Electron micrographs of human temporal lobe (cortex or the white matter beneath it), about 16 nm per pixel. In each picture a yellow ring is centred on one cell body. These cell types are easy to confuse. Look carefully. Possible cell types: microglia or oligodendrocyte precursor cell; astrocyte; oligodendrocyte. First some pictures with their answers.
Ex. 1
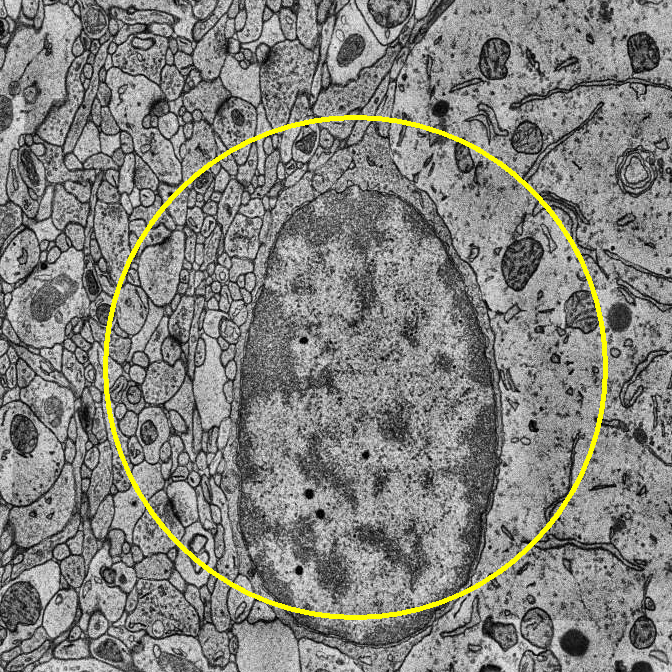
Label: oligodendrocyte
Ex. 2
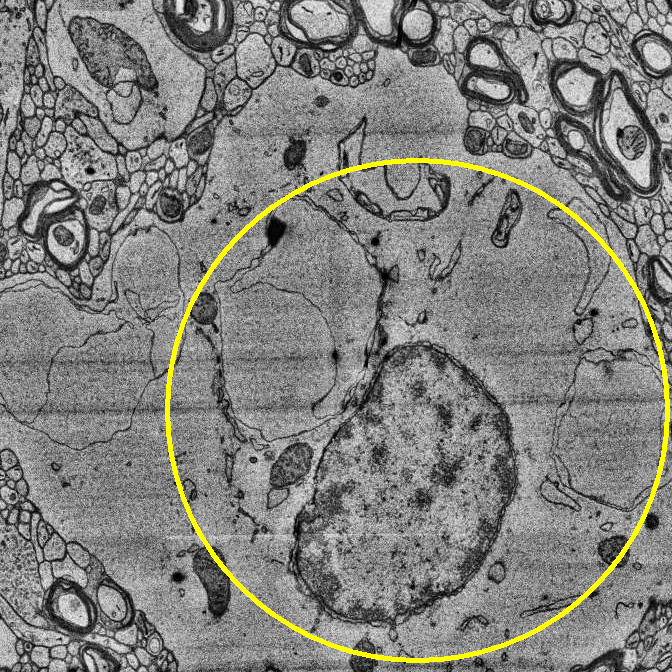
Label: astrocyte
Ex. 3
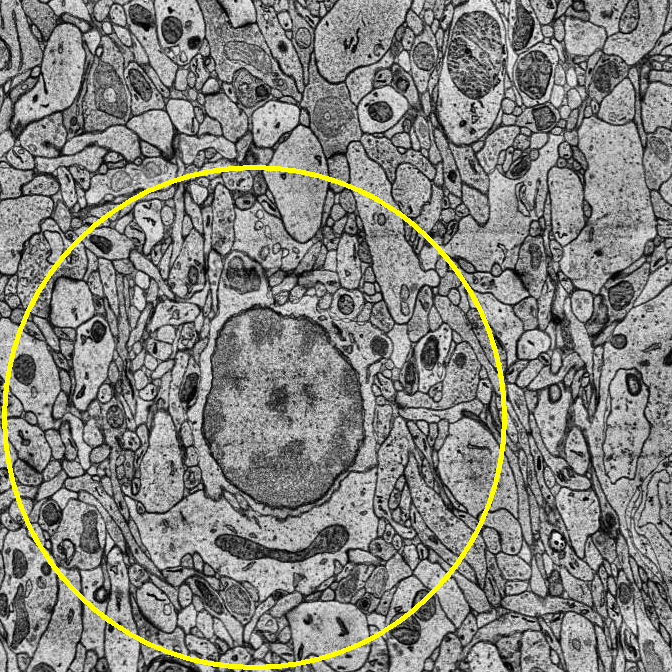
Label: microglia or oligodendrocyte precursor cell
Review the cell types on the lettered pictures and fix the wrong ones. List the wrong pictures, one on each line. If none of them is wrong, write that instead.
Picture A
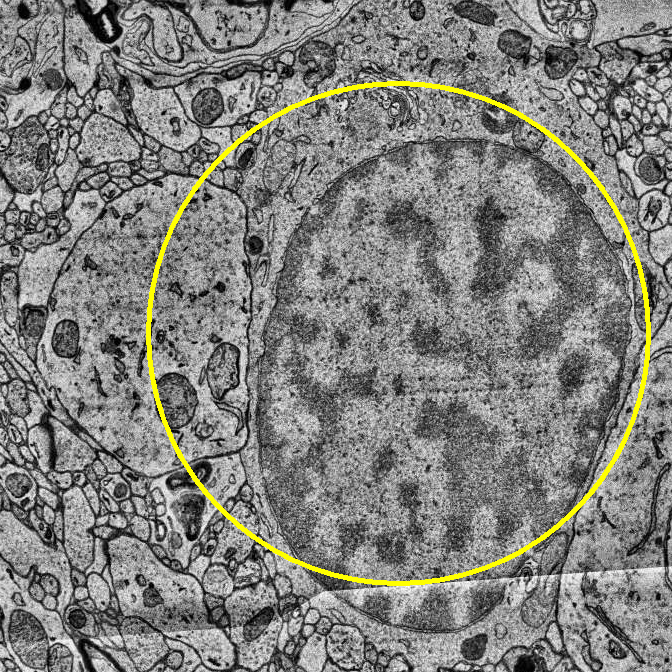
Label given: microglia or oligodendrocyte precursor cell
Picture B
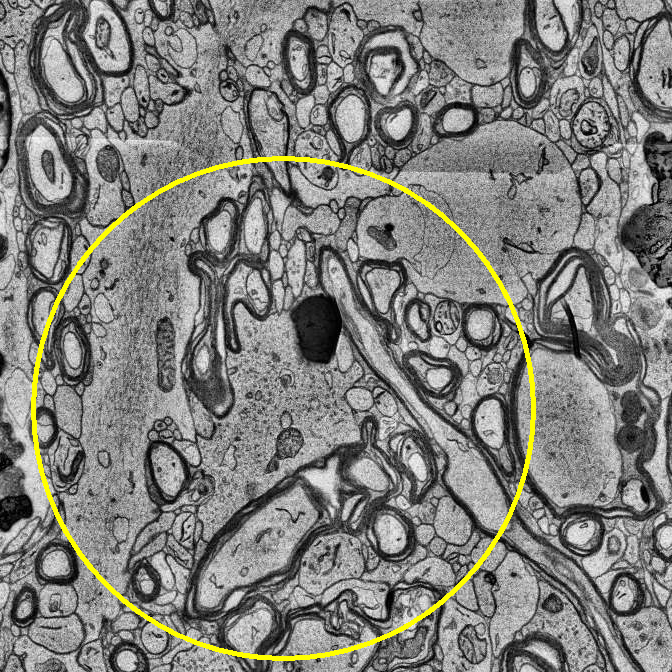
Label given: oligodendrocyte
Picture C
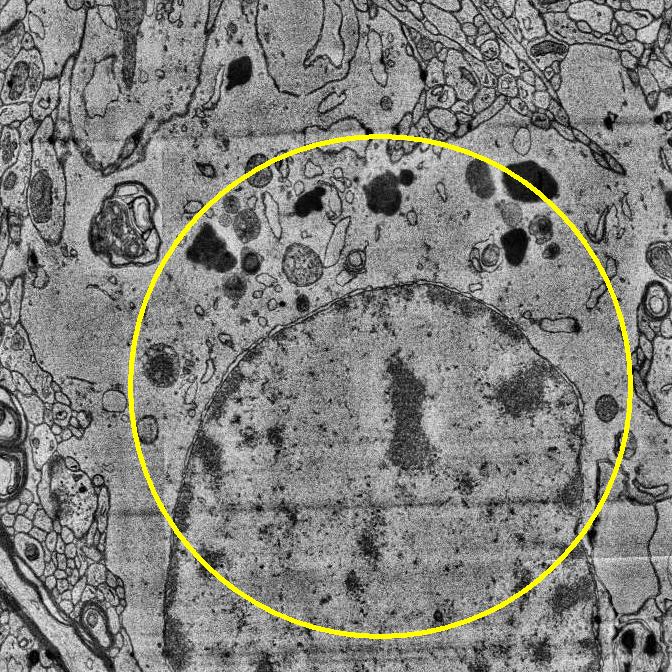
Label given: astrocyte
A should be oligodendrocyte, not microglia or oligodendrocyte precursor cell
